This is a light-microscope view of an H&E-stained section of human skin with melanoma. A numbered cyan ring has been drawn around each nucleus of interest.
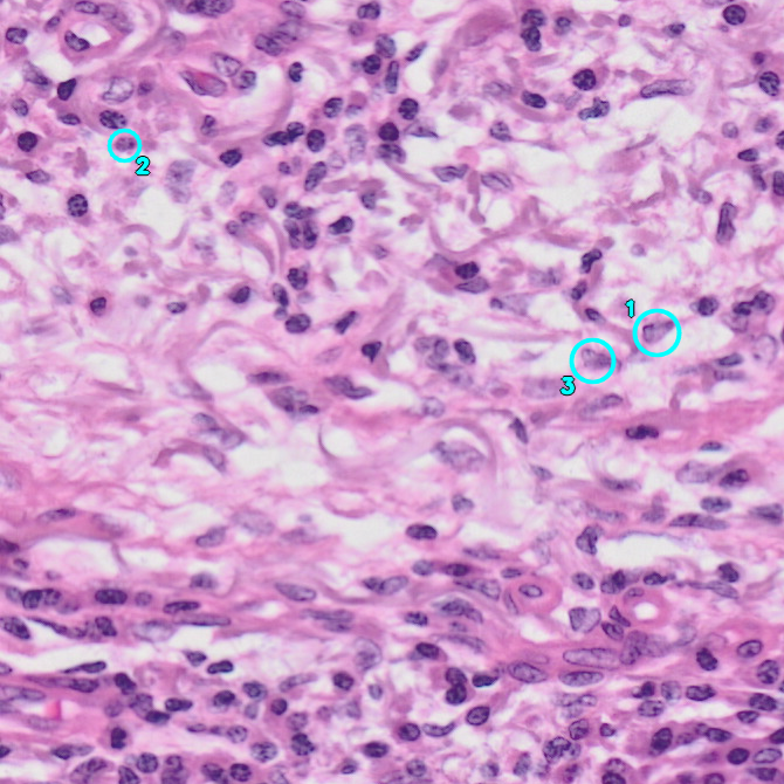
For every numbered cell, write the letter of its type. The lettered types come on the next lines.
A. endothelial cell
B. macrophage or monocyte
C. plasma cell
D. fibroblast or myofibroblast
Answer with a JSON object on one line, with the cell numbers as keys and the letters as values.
{"1": "D", "2": "C", "3": "B"}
